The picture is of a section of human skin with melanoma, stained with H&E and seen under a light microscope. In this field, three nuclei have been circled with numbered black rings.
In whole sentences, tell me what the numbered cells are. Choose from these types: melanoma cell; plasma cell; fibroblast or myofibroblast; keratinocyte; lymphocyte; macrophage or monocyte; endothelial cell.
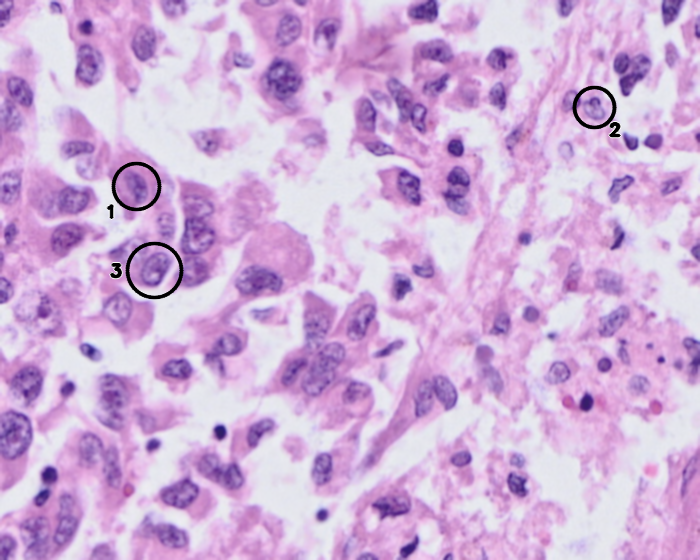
Cell 1 is a melanoma cell, cell 2 is a macrophage or monocyte and cell 3 is a melanoma cell.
